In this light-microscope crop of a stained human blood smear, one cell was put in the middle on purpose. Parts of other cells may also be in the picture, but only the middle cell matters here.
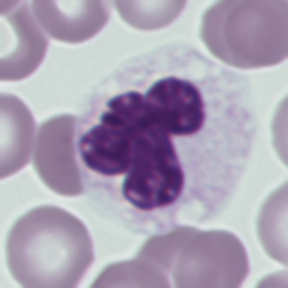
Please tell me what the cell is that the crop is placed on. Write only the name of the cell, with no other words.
segmented neutrophil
